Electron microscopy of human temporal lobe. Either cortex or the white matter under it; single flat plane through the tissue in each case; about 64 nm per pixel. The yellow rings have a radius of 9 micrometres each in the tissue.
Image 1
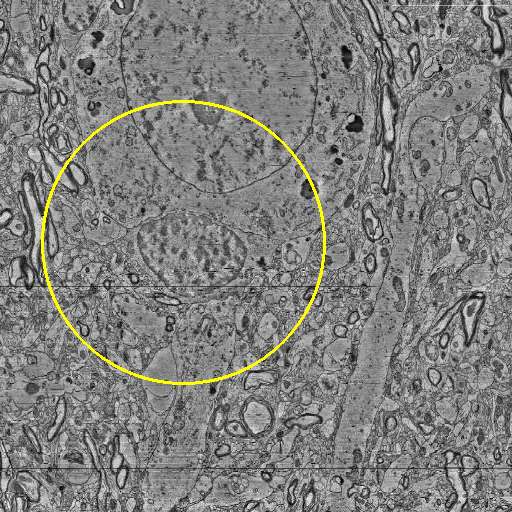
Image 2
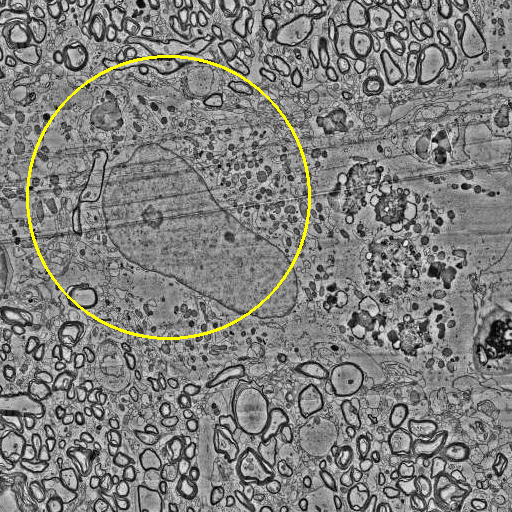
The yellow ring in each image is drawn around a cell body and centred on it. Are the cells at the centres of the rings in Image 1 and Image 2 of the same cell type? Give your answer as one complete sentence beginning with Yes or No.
No, the two cells are of two separate types.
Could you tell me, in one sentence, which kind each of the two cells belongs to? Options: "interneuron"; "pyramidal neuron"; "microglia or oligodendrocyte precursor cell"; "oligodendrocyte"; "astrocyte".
At the centre of the first ring sits an oligodendrocyte, and at the centre of the second sits an astrocyte.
